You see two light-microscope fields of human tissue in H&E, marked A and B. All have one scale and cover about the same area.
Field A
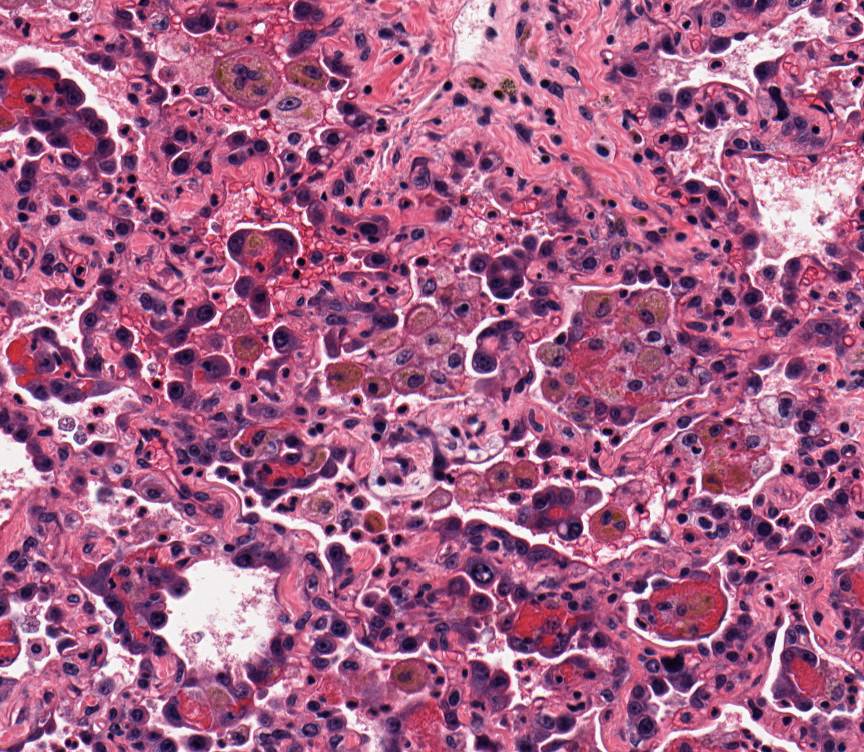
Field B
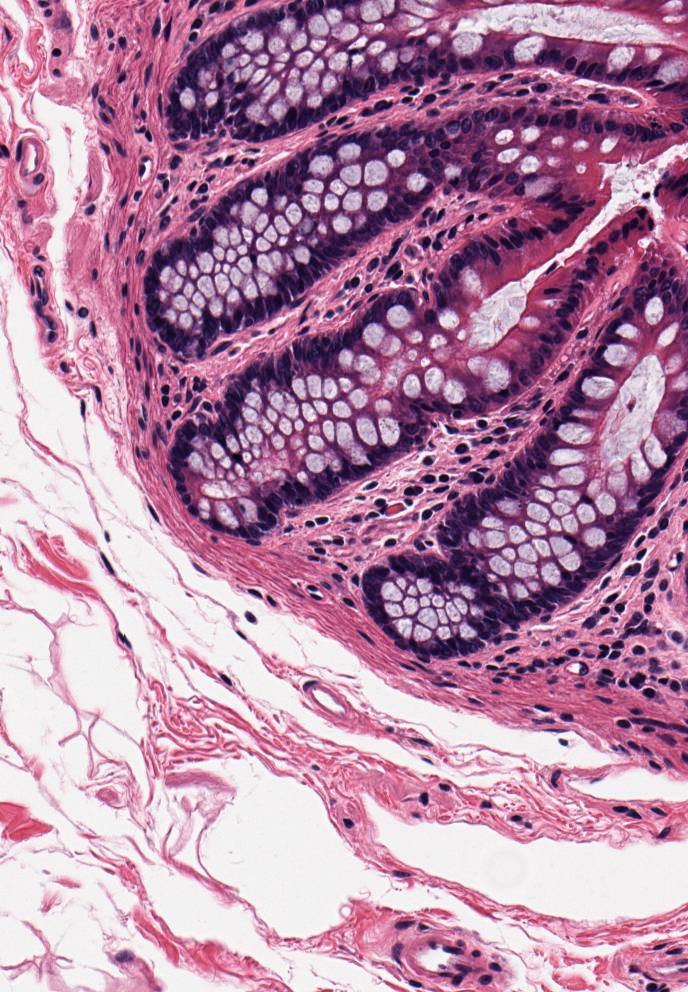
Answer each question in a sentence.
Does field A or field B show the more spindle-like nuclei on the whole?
The nuclei are more elongated in field B.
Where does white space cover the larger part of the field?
Field B has more white space.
